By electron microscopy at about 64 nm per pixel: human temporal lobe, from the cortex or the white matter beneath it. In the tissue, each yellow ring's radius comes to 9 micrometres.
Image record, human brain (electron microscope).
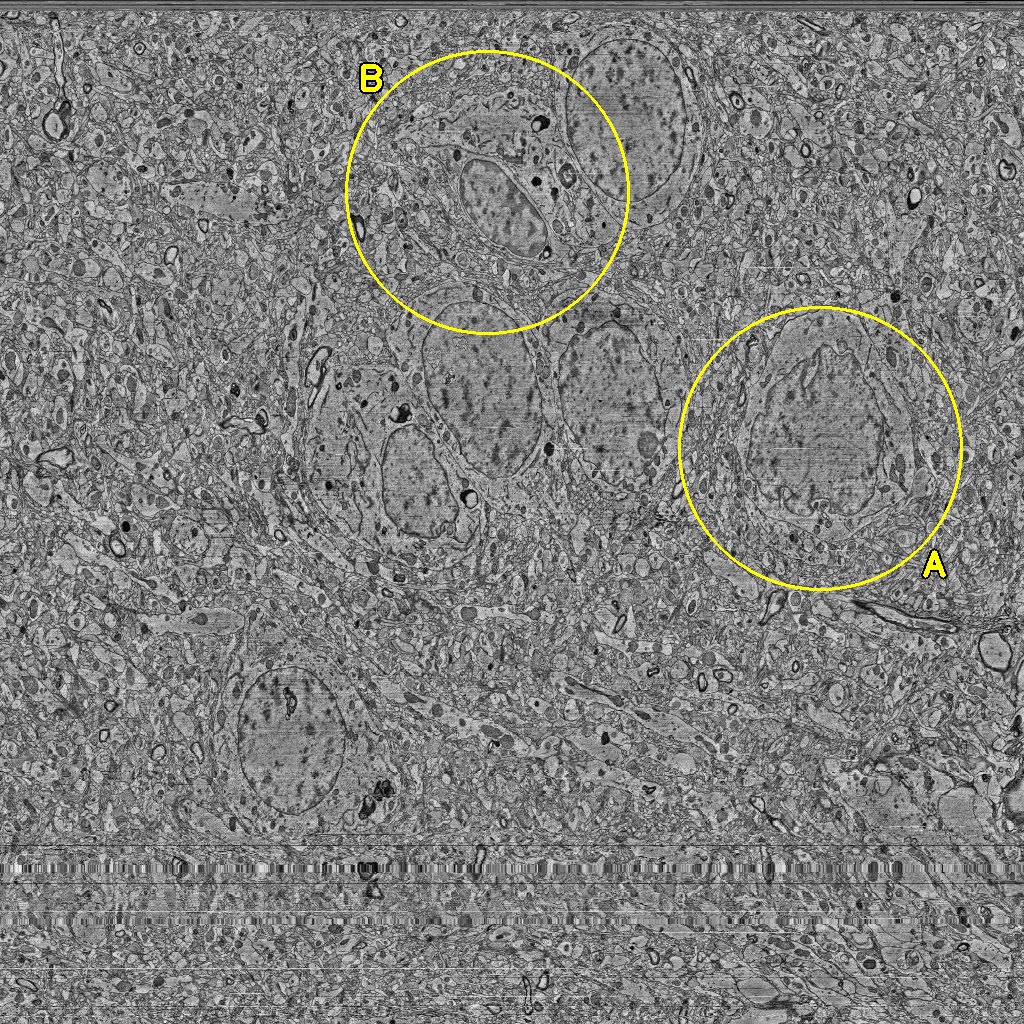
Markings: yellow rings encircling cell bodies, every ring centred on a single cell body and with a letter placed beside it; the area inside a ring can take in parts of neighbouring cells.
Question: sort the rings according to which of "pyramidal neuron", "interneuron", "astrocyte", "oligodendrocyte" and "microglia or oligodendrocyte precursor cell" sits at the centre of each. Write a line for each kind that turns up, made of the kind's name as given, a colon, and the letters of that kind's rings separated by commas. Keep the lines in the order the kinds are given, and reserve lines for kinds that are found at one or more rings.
interneuron: A
microglia or oligodendrocyte precursor cell: B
